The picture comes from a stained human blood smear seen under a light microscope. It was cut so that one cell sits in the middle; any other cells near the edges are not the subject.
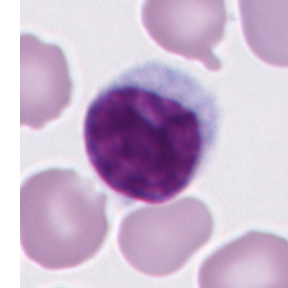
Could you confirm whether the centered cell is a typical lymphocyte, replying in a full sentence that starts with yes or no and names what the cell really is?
No, the central cell is not a typical lymphocyte, being instead a hairy cell.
